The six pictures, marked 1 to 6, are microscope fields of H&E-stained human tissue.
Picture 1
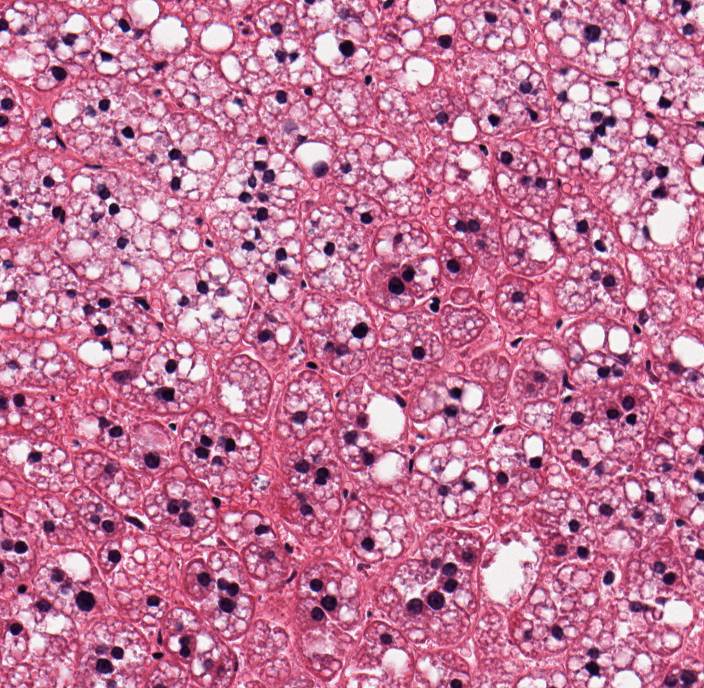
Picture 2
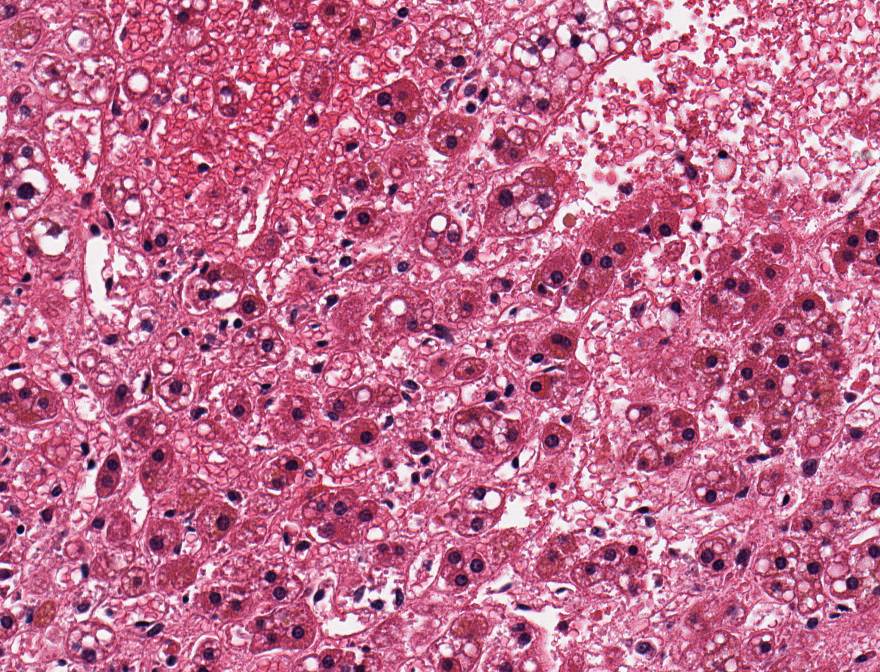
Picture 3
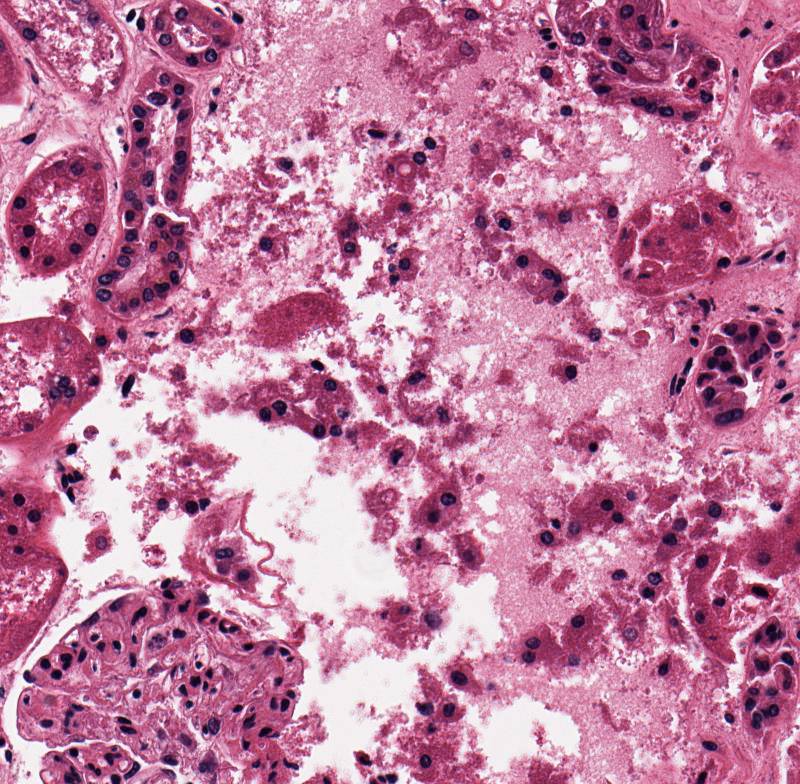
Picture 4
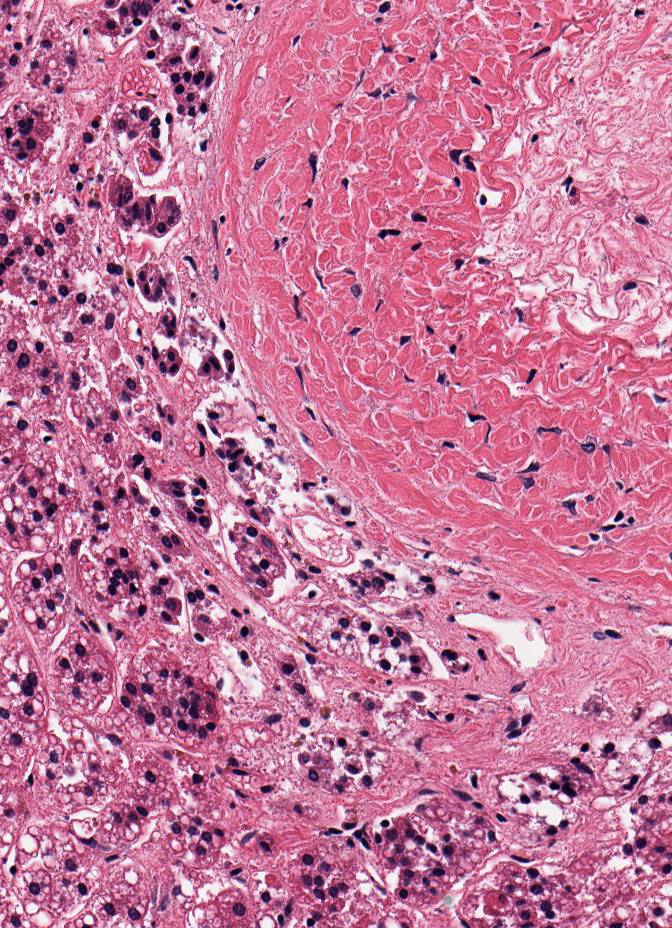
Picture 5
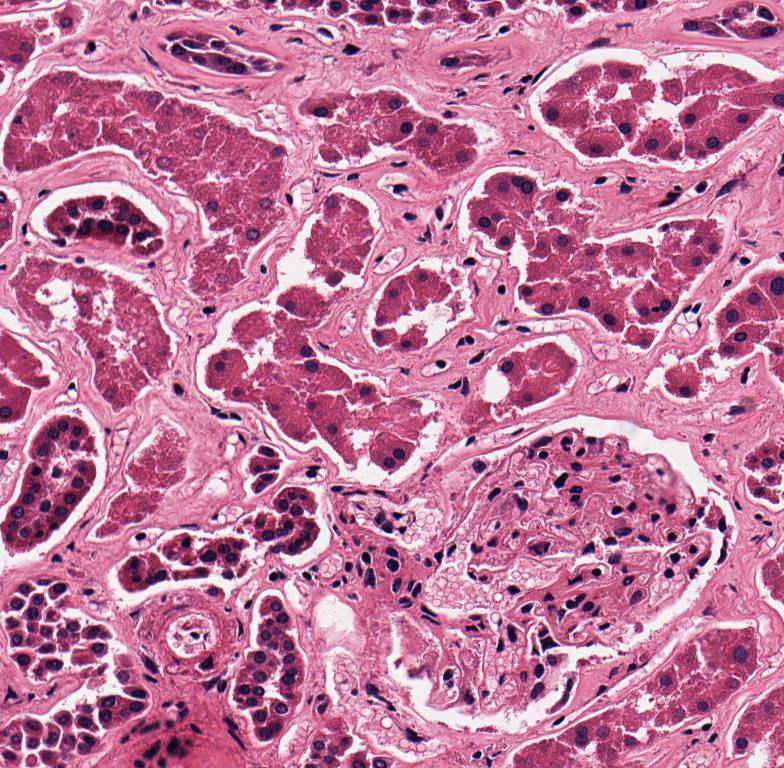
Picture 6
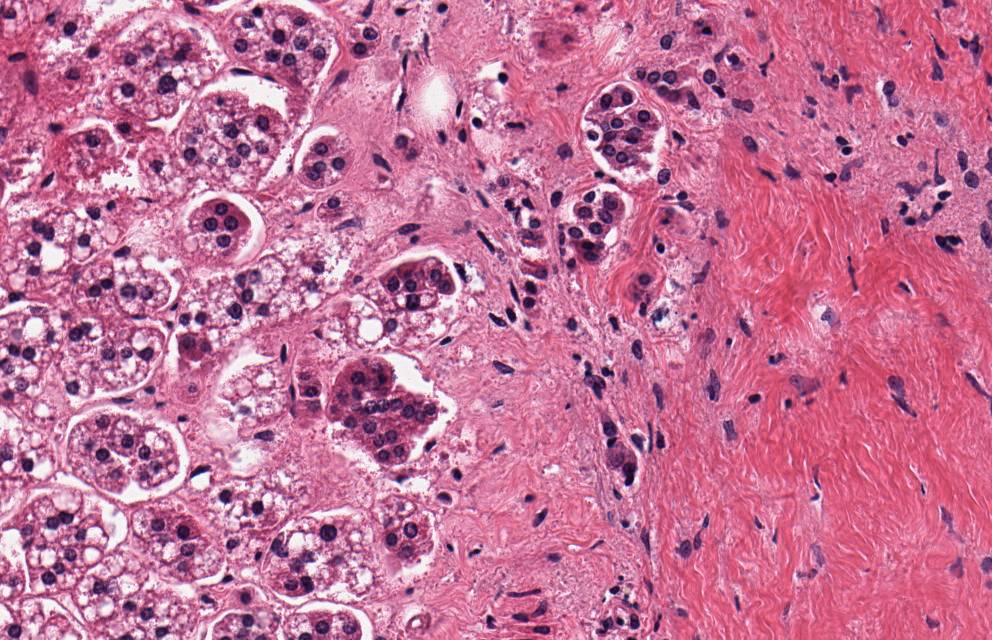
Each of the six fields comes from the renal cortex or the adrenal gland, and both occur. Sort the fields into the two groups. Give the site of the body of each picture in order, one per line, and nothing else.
adrenal gland
adrenal gland
renal cortex
adrenal gland
renal cortex
adrenal gland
